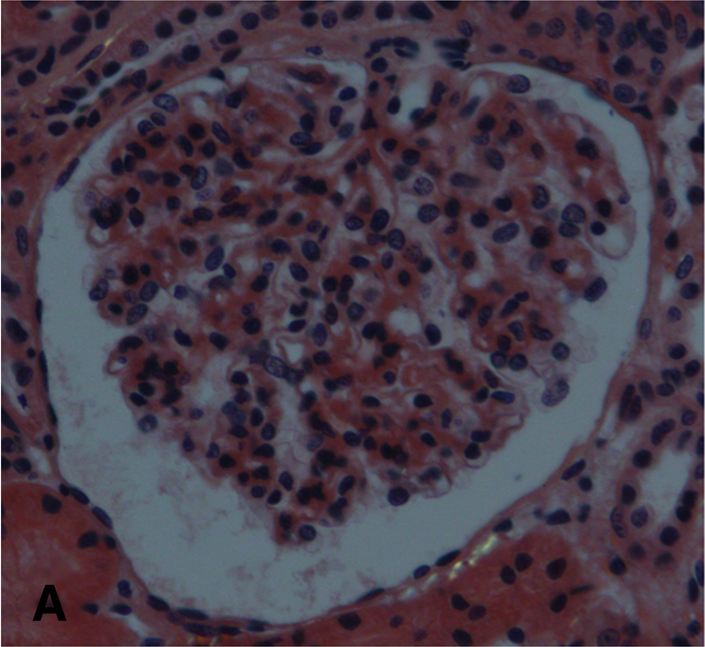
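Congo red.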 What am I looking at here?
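A renal glomerulus sits within a clear Bowman's space, its lobulated capillary tuft crowded with dark blue nuclei on a pink-red background. Thin-walled capillary loops open here and there within the tuft, flattened cells line the capsule, and tubules with pink cytoplasm surround it.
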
